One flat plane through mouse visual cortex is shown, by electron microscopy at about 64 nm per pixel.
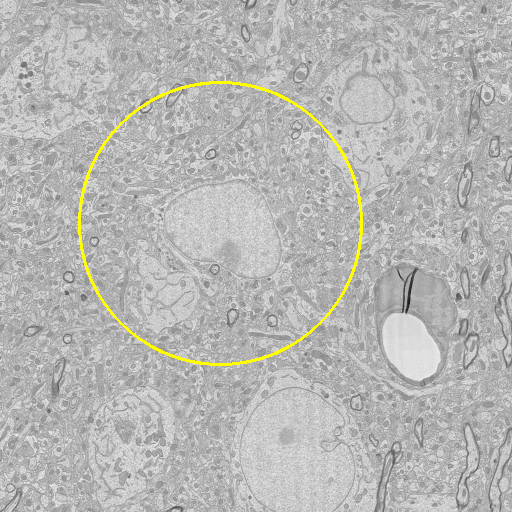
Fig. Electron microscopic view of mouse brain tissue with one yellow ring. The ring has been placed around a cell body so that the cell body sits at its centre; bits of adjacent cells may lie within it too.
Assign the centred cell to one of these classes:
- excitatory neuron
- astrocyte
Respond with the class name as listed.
astrocyte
